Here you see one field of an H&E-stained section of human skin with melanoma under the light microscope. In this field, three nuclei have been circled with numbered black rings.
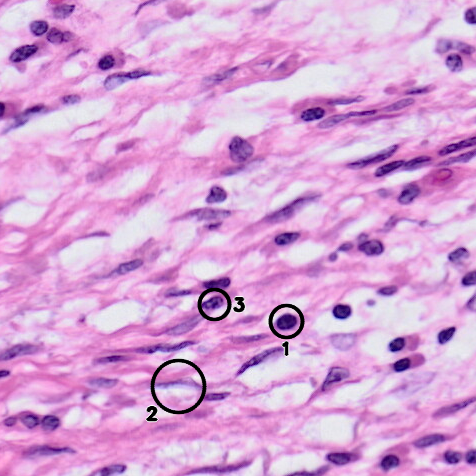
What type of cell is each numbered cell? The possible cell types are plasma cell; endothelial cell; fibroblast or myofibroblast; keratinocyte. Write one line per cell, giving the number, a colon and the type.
1: plasma cell
2: fibroblast or myofibroblast
3: plasma cell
